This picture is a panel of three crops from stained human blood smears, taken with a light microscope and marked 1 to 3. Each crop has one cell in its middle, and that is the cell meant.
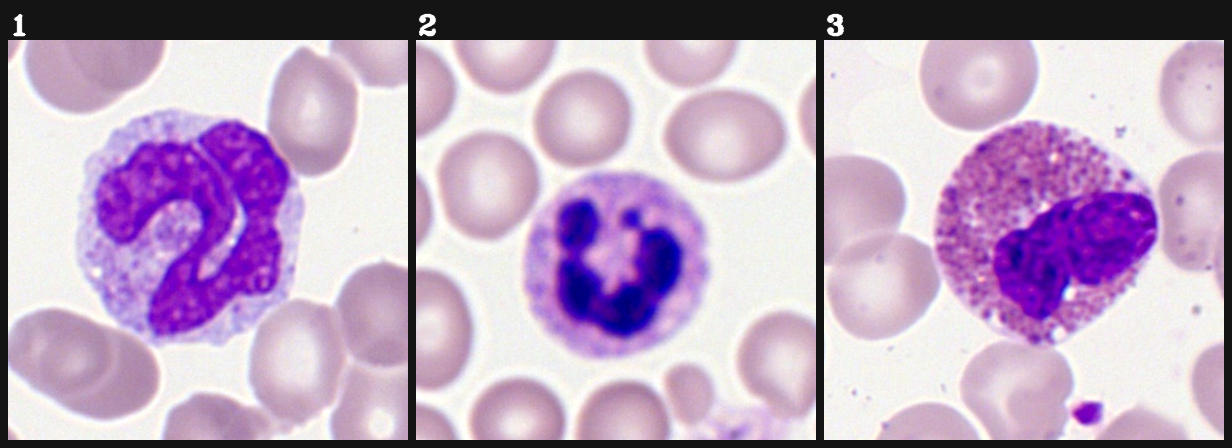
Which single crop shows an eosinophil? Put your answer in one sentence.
The sole crop showing an eosinophil is crop 3.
